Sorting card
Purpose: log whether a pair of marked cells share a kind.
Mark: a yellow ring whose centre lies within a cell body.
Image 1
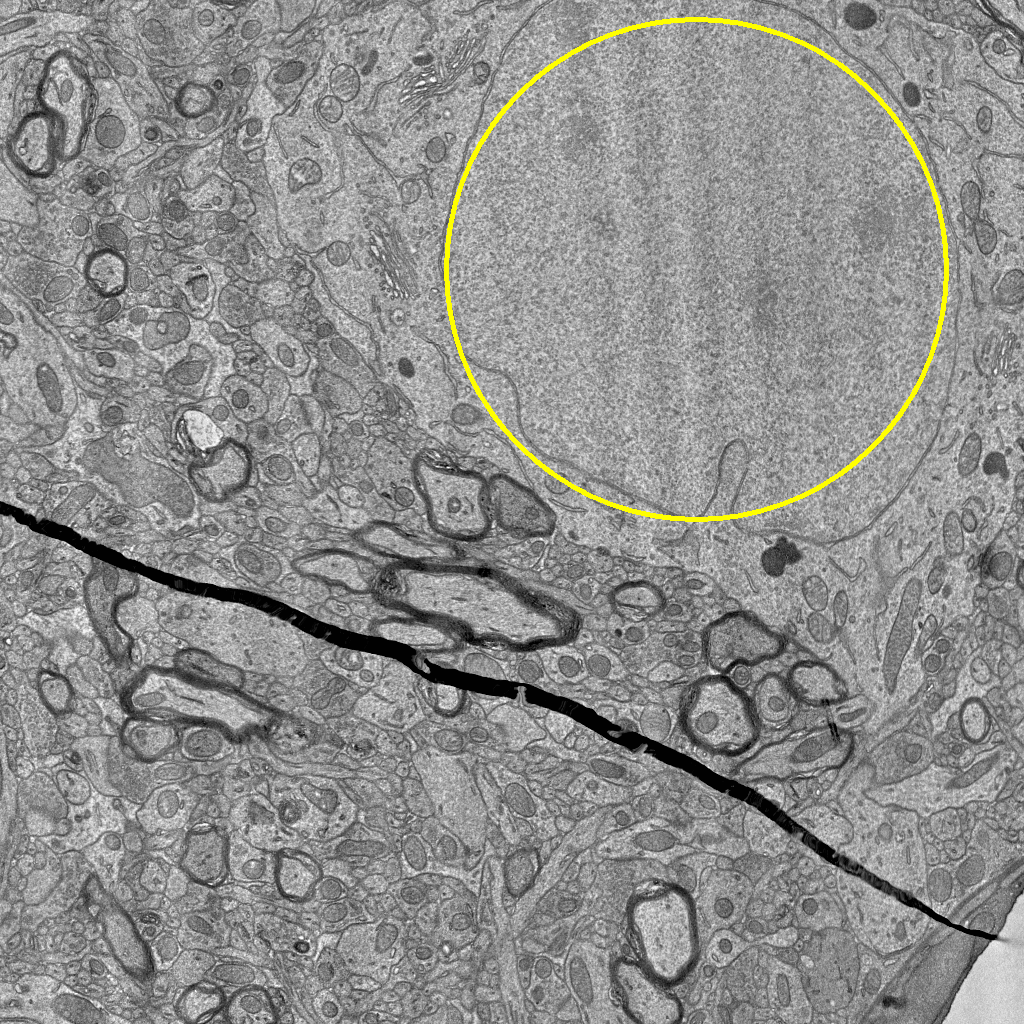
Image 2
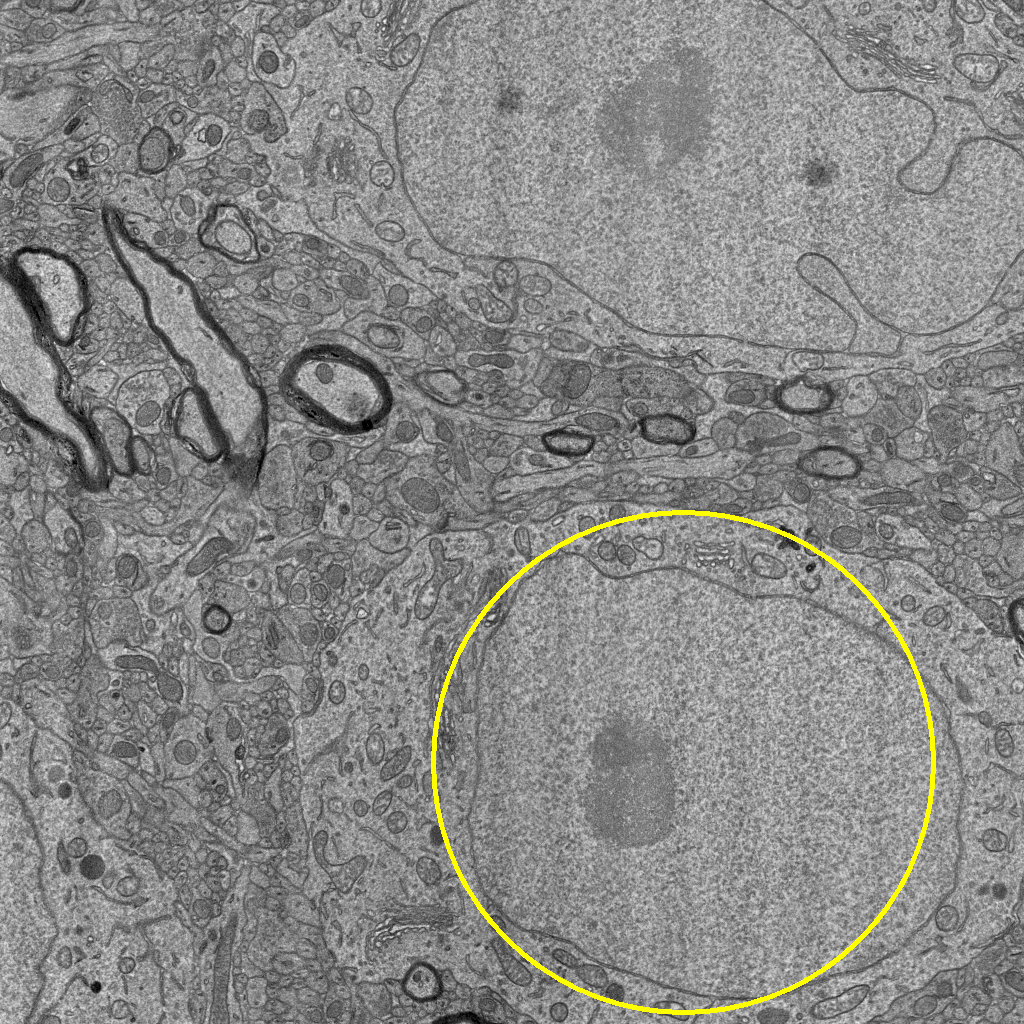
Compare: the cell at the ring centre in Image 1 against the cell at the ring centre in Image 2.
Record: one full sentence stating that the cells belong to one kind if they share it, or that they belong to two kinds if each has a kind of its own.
Across Images 1 and 2, the two cells at the ring centres belong to one kind.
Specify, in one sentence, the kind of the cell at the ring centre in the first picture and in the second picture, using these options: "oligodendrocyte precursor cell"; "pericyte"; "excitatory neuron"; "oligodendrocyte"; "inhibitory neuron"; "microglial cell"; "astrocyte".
Each of the two rings surrounds an excitatory neuron.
